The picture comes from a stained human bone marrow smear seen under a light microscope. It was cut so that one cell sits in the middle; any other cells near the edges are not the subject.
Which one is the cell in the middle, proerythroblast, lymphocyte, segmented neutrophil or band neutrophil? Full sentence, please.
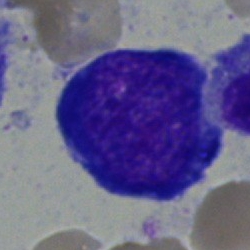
The cell sitting right in the middle is a proerythroblast.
